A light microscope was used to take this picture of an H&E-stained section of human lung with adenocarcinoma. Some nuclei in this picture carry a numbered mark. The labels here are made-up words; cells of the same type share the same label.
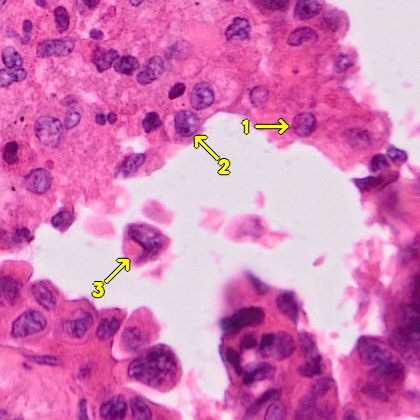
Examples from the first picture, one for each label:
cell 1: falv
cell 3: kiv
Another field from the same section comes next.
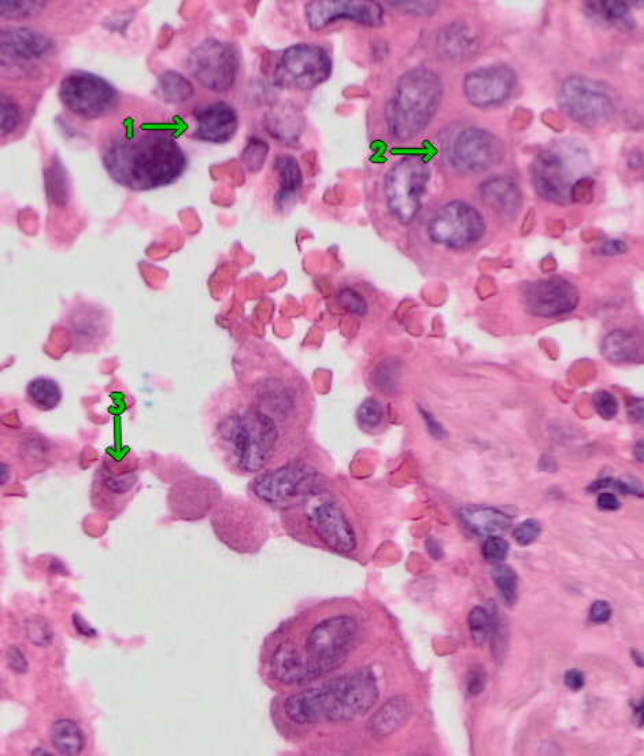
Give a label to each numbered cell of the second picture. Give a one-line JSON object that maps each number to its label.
{"1": "kiv", "2": "kiv", "3": "falv"}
